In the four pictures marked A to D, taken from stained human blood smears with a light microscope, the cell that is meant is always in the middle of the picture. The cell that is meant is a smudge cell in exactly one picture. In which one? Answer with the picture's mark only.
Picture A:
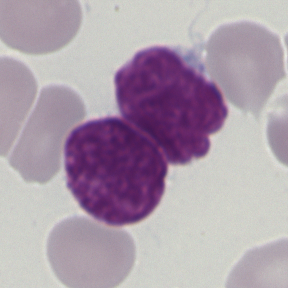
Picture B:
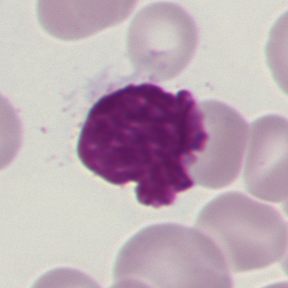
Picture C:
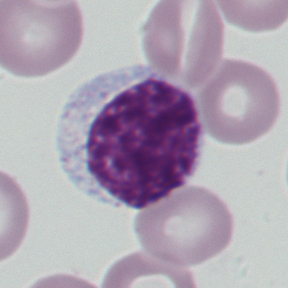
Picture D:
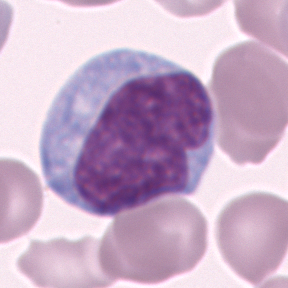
B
